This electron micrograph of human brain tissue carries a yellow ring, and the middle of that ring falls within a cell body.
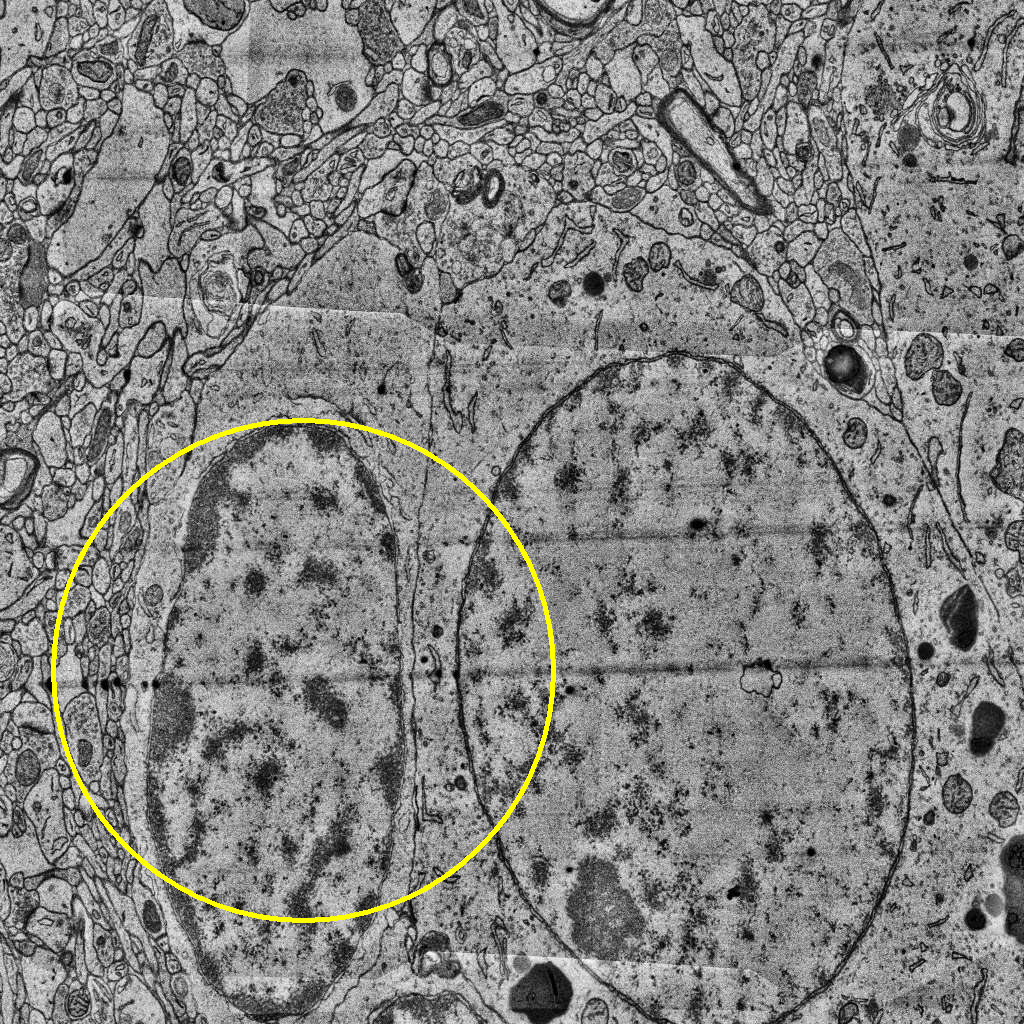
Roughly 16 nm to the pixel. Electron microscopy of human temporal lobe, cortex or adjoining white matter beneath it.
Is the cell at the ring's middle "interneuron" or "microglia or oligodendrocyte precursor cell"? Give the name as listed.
microglia or oligodendrocyte precursor cell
